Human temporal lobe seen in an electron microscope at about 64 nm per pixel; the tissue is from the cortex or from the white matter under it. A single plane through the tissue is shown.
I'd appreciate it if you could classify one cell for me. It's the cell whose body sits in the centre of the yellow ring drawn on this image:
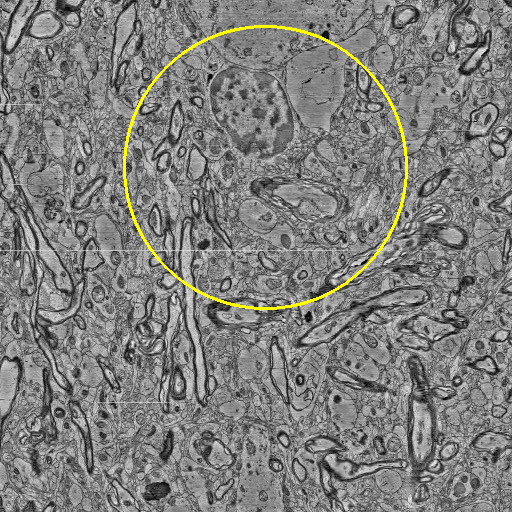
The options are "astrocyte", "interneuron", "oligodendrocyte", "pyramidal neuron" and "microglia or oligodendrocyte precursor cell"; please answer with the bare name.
microglia or oligodendrocyte precursor cell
